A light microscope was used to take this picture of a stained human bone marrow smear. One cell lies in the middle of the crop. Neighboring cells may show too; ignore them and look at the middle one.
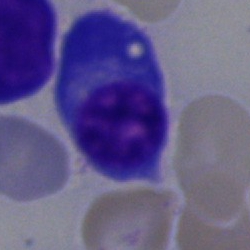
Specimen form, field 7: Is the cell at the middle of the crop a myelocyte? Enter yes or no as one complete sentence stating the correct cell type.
No, the cell centered in the crop is a plasma cell, not a myelocyte.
